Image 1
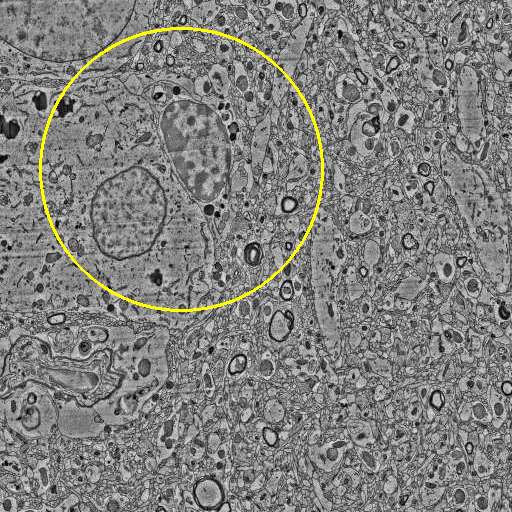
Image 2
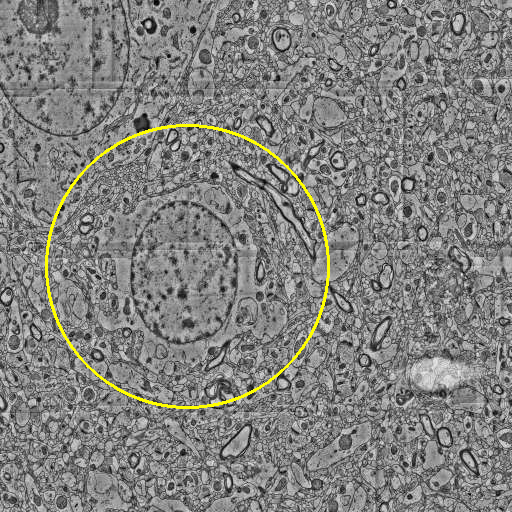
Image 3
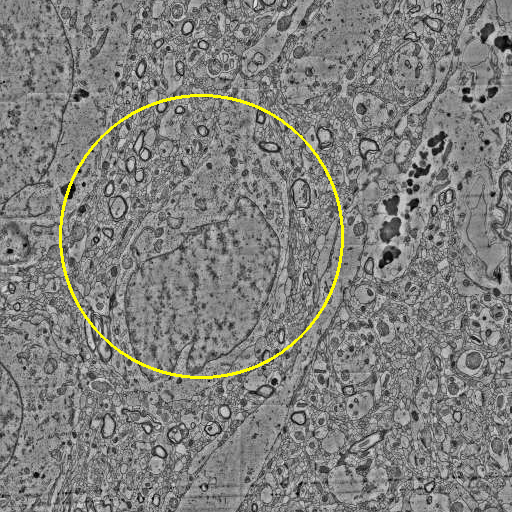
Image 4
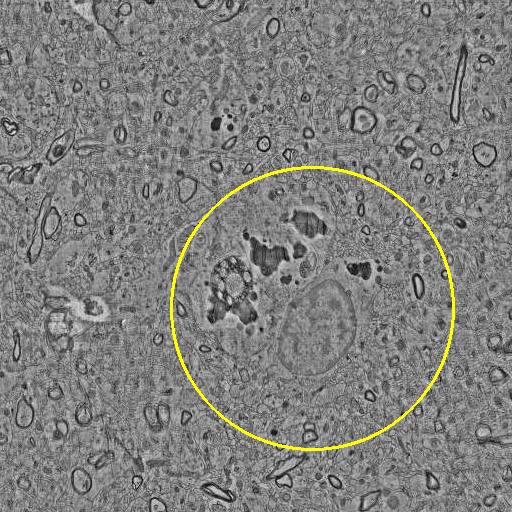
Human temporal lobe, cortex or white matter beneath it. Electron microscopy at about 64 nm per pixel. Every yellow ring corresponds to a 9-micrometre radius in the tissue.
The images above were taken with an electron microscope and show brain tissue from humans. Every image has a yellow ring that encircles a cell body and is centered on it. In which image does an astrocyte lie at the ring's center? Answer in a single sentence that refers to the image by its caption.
In Image 2, the cell at the center of the yellow ring is the correct match.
